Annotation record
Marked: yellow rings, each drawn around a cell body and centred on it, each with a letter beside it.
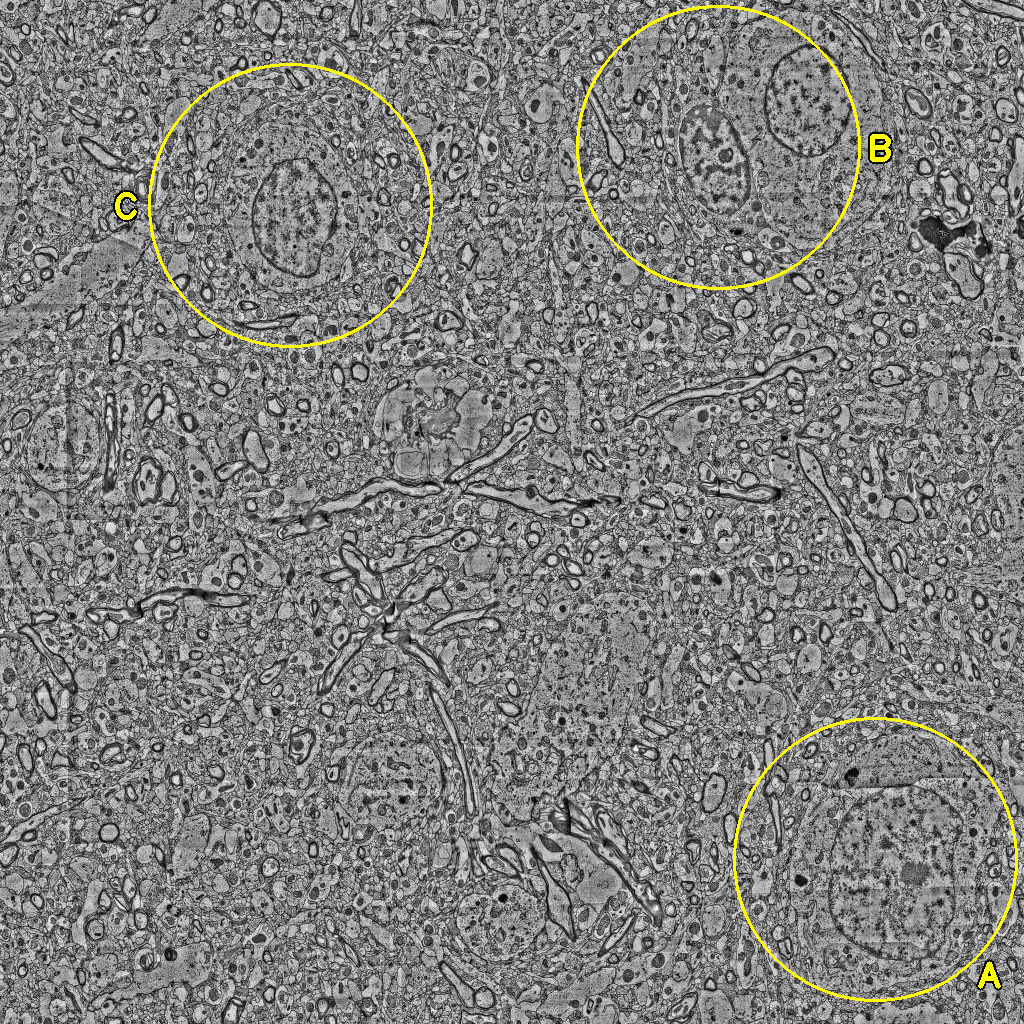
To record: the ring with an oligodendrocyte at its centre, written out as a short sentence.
The ring centred on it is ring B.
